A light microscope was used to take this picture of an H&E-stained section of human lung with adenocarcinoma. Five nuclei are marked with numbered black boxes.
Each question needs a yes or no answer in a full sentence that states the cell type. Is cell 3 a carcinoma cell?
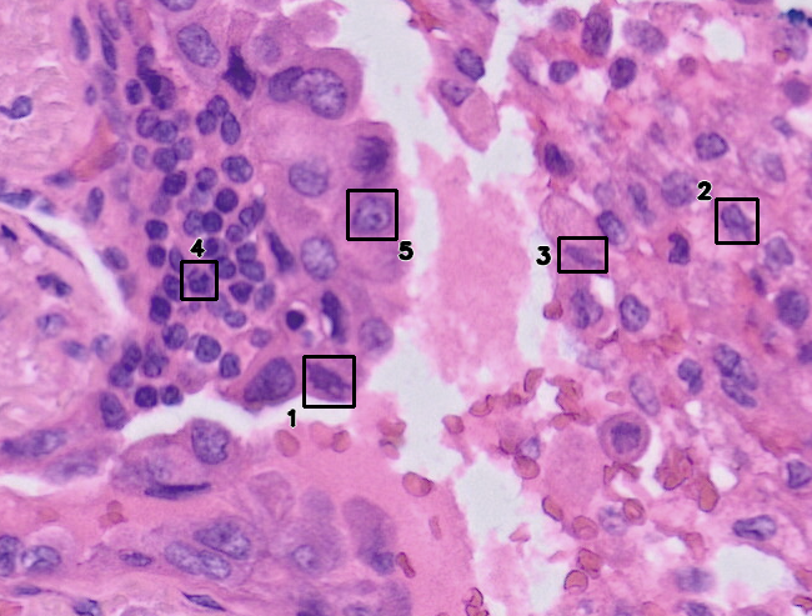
No, the marker 3 sits on a macrophage or monocyte, not on a carcinoma cell.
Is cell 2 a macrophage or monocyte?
Yes, number 2 marks a cell that is a macrophage or monocyte.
